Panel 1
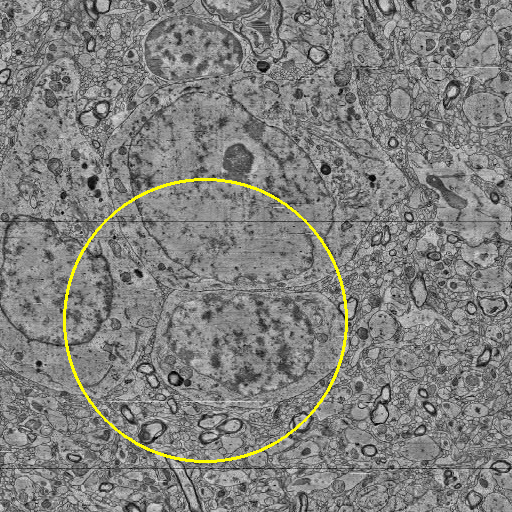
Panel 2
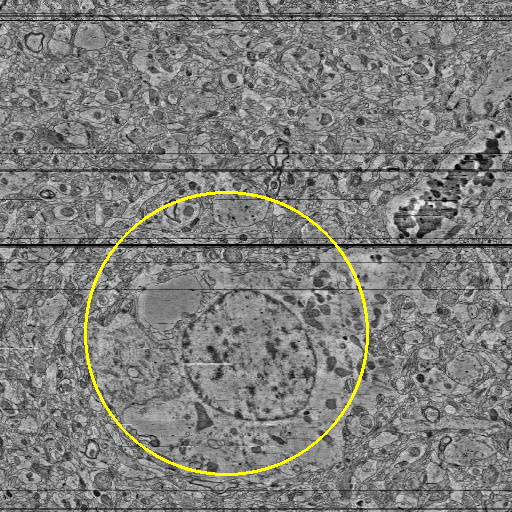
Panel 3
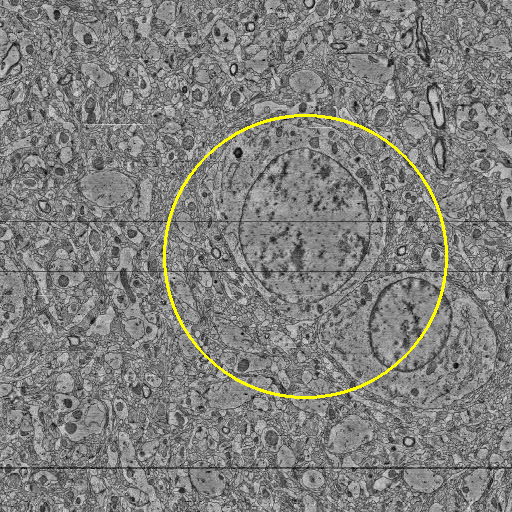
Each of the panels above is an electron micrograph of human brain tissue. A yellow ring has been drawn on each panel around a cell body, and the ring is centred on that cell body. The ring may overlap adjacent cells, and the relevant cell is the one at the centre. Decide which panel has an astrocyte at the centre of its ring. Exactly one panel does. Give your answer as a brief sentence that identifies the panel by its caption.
Panel 2 is the one with it at the centre of the ring.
